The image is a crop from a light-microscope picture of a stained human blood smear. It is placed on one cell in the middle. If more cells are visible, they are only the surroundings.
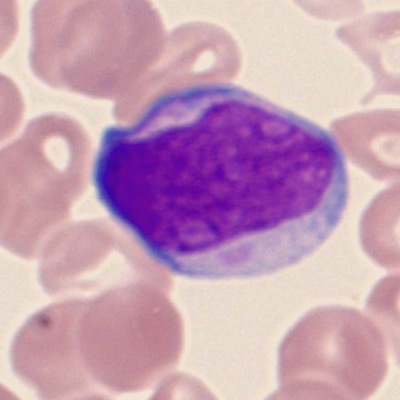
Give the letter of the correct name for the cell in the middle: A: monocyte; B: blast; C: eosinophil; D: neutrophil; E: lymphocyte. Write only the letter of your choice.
B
